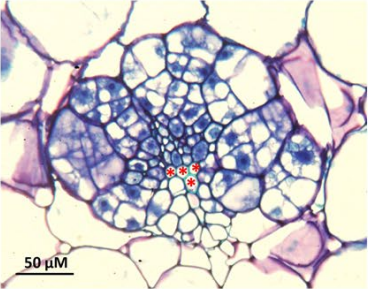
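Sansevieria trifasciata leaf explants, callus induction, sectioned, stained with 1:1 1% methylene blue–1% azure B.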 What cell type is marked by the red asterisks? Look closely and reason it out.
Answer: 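The asterisks mark a few small clear cells at the centre of a rounded cluster. Many larger dividing-looking cells with blue walls surround them.
Hence: xylem cell.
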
